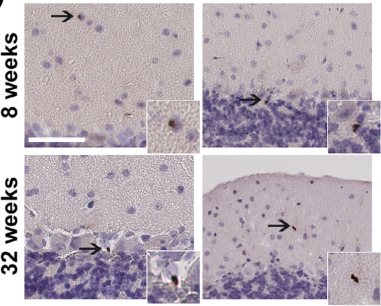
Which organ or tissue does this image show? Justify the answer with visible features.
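Cerebellum. A pale, sparsely nucleated layer lies above a densely packed layer of small dark blue nuclei. A row of larger cell bodies sits at the border between the two layers.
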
